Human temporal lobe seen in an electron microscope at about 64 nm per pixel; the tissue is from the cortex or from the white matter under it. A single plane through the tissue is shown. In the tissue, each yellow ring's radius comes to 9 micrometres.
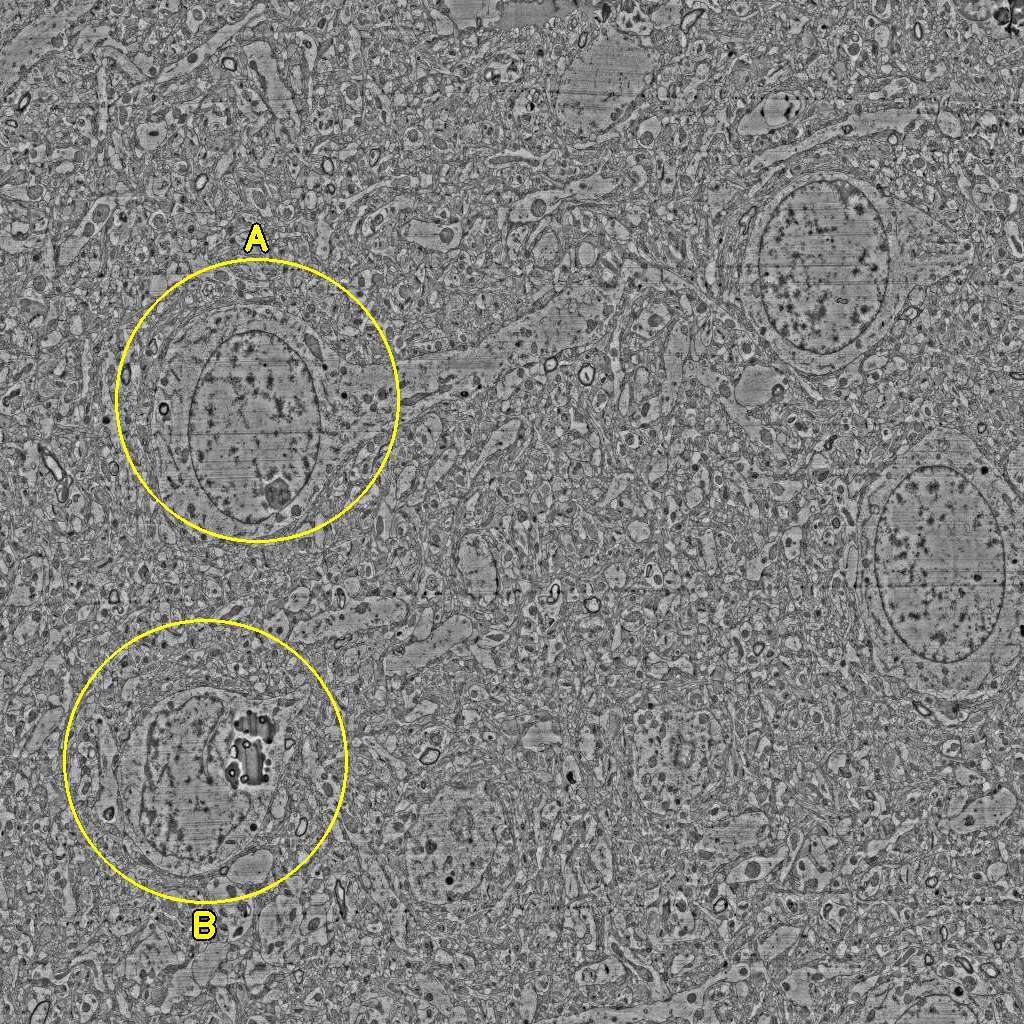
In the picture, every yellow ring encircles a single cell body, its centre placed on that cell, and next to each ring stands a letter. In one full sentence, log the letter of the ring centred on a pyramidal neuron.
The ring with the requested cell at its centre bears the letter A.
